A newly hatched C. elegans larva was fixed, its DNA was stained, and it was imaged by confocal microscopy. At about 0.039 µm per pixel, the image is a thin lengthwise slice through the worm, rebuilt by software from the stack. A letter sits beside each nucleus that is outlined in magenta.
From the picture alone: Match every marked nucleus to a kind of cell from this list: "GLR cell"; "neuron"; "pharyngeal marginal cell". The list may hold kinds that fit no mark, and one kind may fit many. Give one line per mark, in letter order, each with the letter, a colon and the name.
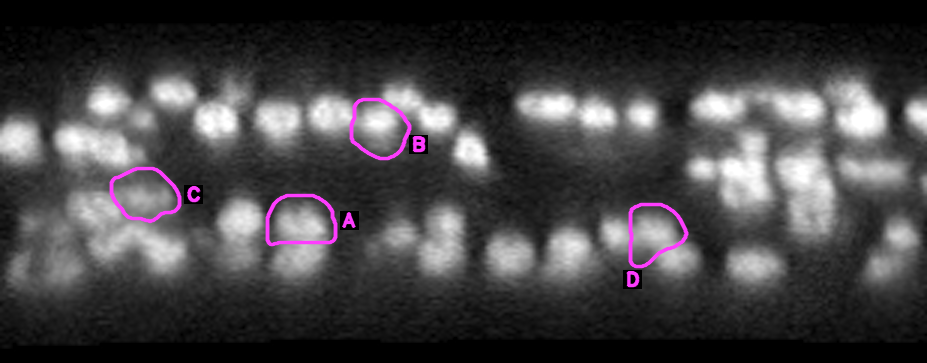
A: neuron
B: neuron
C: pharyngeal marginal cell
D: neuron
